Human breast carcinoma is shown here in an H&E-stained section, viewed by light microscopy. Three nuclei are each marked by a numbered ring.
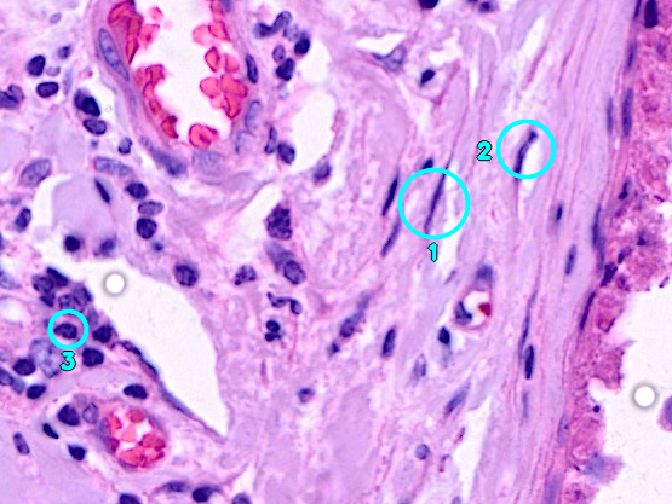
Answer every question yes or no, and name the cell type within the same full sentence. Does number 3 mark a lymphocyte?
Yes, exactly, the cell numbered 3 is a lymphocyte.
